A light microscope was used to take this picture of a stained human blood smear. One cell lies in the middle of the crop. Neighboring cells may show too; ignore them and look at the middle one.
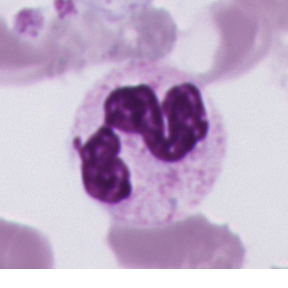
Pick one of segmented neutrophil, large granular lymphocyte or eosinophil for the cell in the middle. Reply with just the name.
segmented neutrophil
